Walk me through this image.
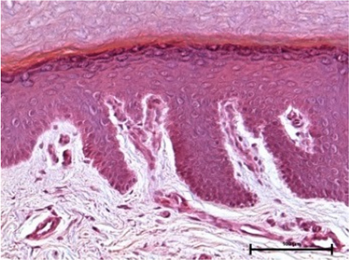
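This is skin, with a stratified squamous epidermis sitting on a pale dermis. The epidermis stains purple-pink, with a compact pink cornified layer along its upper surface and a thin darker band just beneath it. Long epidermal ridges reach down into the dermis, alternating with narrow dermal papillae of loose, pale connective tissue. The dermis holds scattered small dark nuclei and a few small vessels near the bottom of the field.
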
